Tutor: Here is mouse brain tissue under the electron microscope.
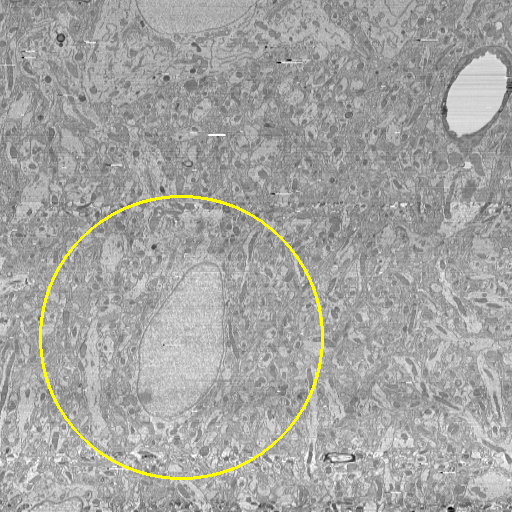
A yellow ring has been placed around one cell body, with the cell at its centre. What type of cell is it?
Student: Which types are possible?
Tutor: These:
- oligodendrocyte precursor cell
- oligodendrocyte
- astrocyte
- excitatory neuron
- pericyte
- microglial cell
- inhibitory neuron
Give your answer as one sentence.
What the ring picks out here is an astrocyte.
